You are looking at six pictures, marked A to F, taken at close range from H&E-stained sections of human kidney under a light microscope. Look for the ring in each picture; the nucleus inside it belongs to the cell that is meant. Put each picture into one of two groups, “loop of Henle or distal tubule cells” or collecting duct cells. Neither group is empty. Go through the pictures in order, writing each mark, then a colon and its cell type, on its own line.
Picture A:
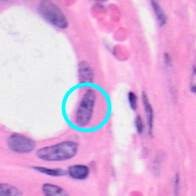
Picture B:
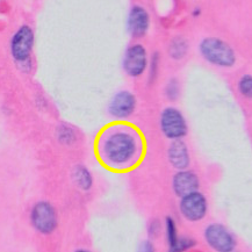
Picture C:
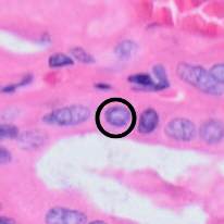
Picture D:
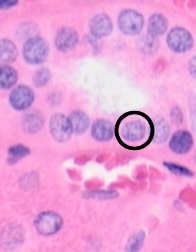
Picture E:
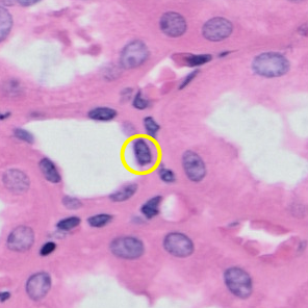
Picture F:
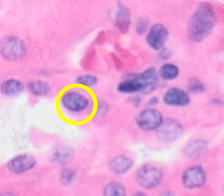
A: collecting duct cell
B: loop of Henle or distal tubule cell
C: collecting duct cell
D: collecting duct cell
E: loop of Henle or distal tubule cell
F: loop of Henle or distal tubule cell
